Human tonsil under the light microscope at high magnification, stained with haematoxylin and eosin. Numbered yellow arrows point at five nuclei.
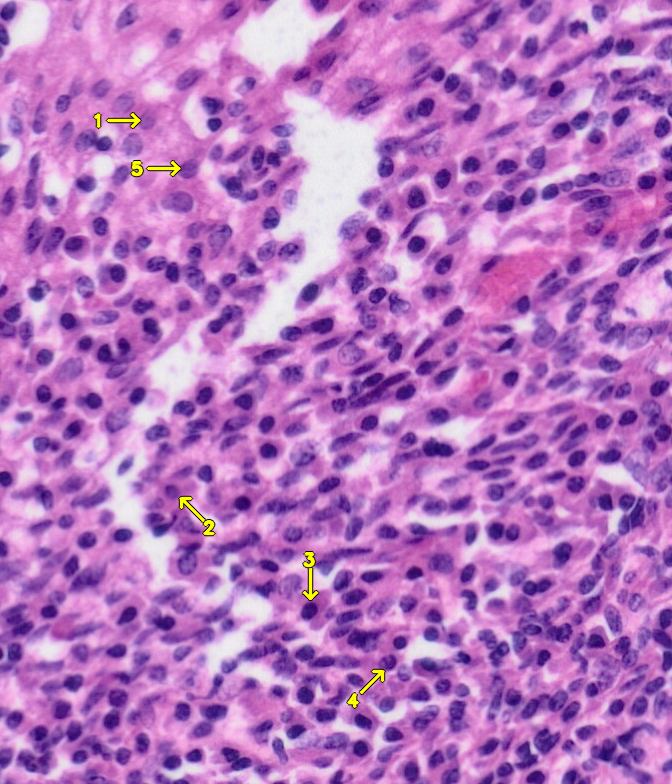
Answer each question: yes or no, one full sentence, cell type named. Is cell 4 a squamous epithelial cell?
No, cell 4 is not a squamous epithelial cell at all but a plasma cell.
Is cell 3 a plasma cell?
Yes, the numbered cell 3 is a plasma cell.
